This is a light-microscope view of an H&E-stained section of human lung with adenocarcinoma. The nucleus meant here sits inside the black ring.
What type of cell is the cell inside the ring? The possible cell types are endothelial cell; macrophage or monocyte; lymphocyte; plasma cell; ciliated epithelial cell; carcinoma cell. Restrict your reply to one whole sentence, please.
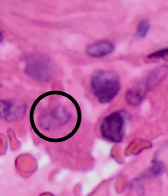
In this field of tissue, the cell inside the ring is a macrophage or monocyte.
